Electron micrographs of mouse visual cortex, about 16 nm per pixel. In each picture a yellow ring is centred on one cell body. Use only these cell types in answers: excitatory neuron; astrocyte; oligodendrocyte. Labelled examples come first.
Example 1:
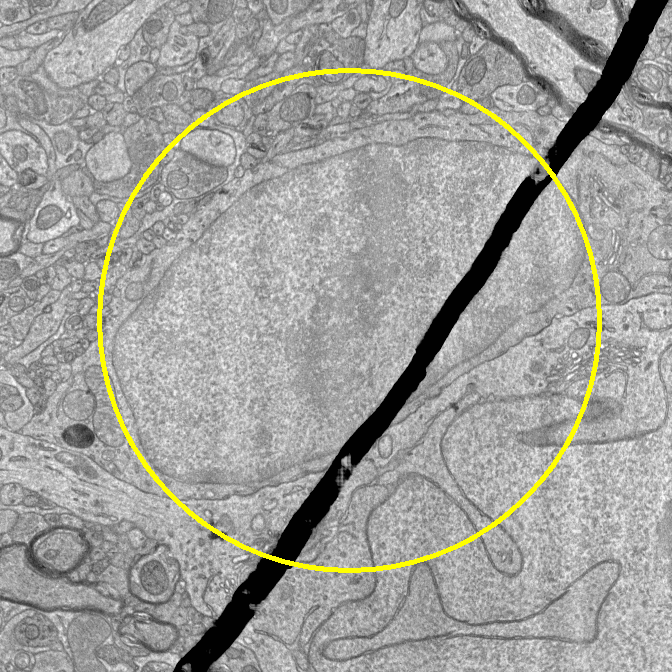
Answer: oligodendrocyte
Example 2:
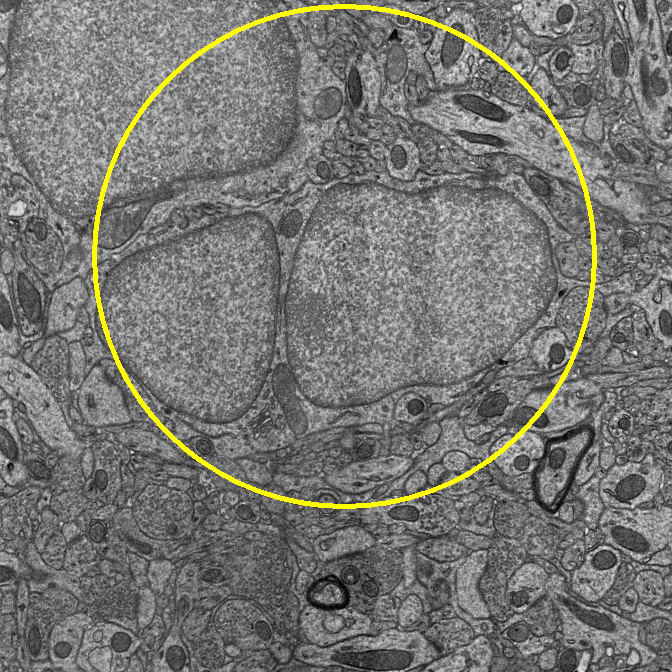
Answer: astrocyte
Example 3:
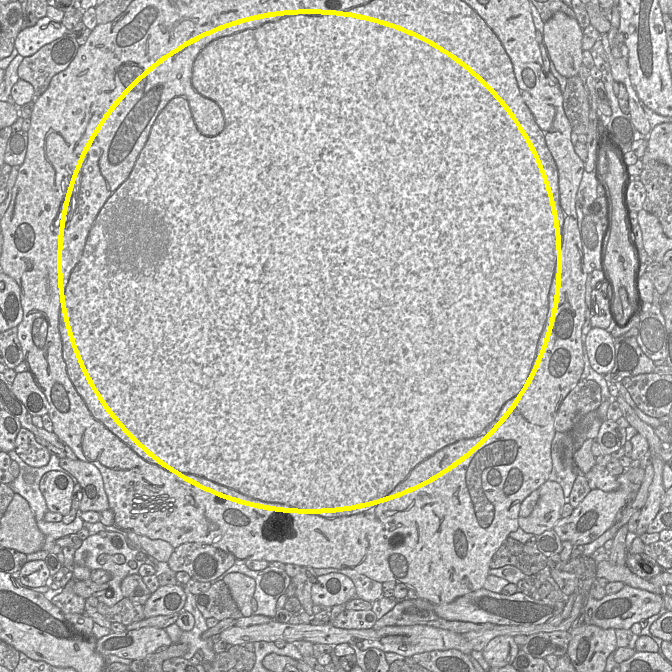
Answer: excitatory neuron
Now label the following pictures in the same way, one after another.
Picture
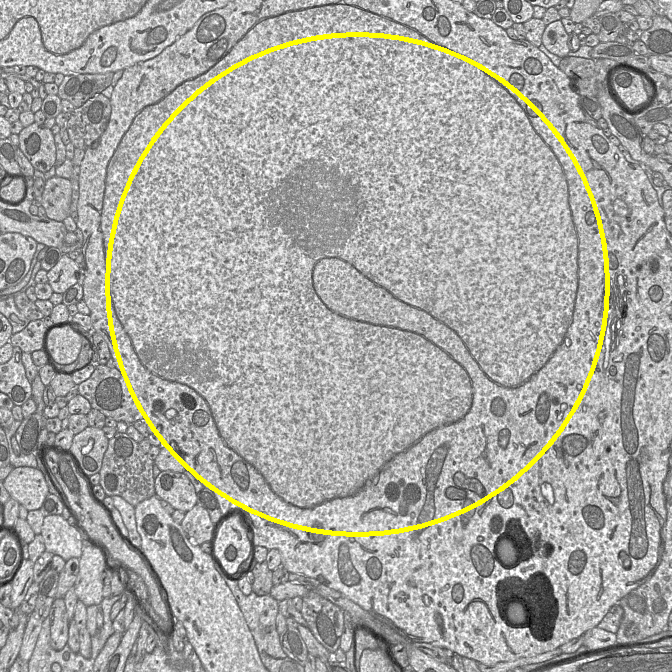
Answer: excitatory neuron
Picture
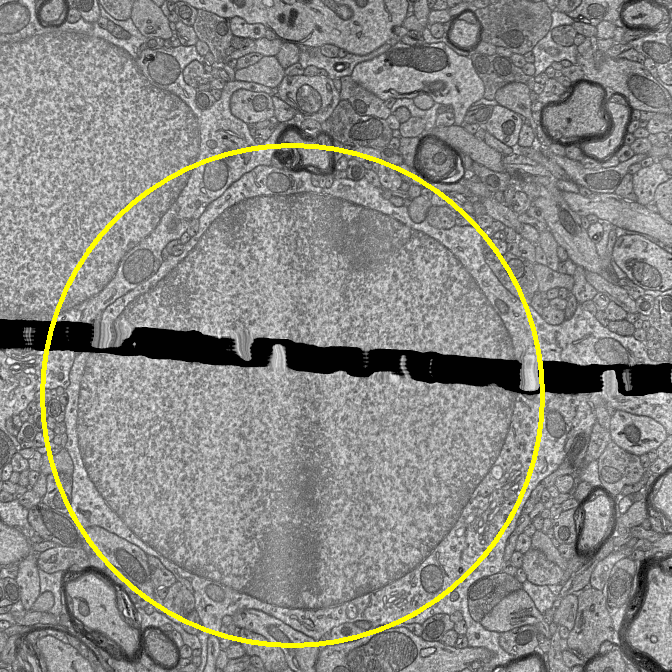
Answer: astrocyte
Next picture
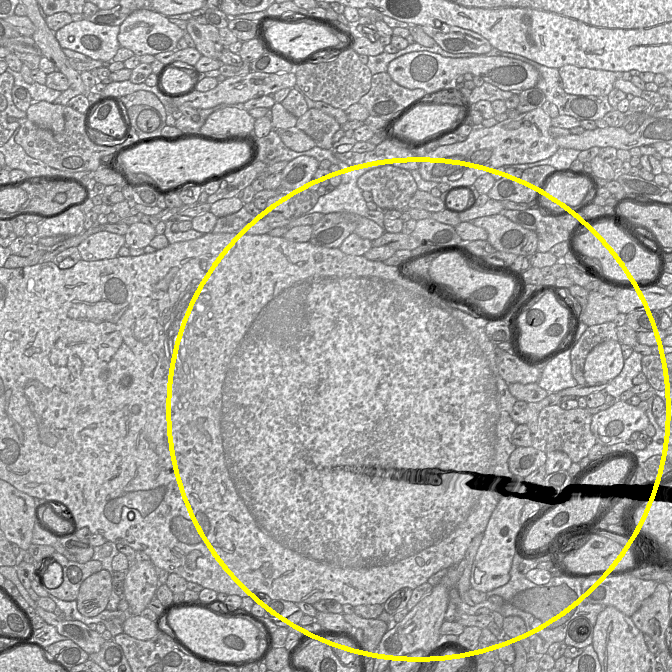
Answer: oligodendrocyte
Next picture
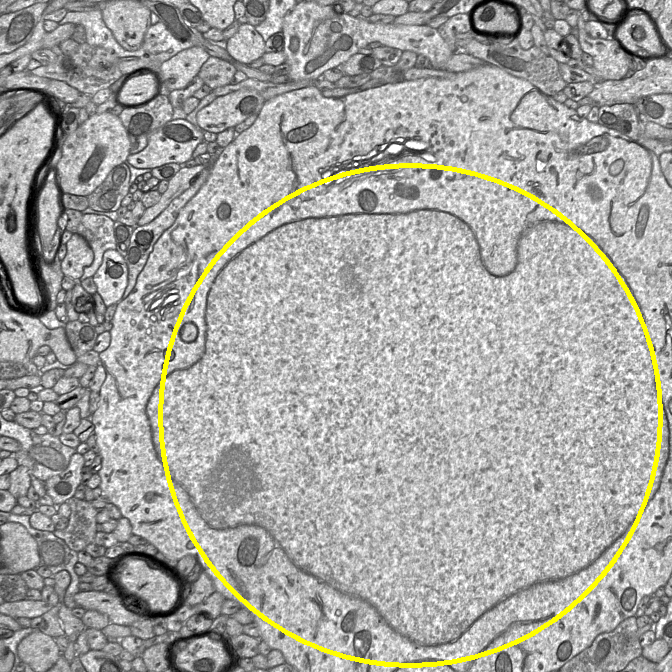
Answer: excitatory neuron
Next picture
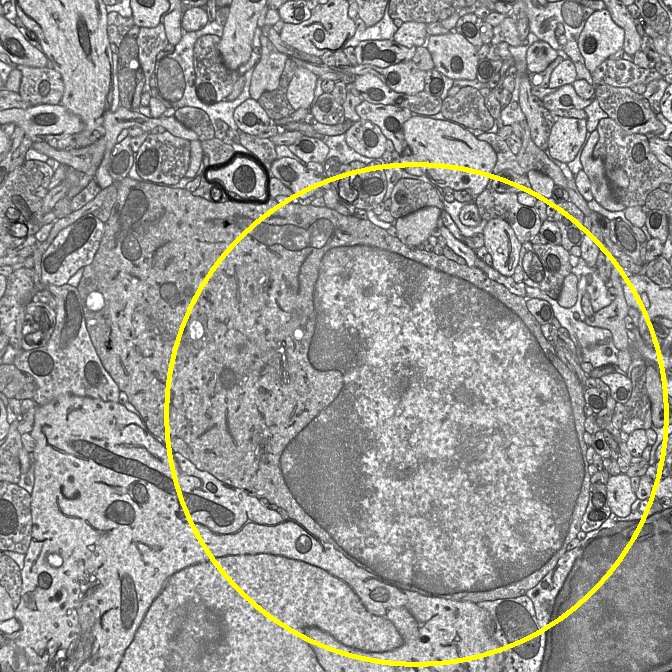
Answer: oligodendrocyte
